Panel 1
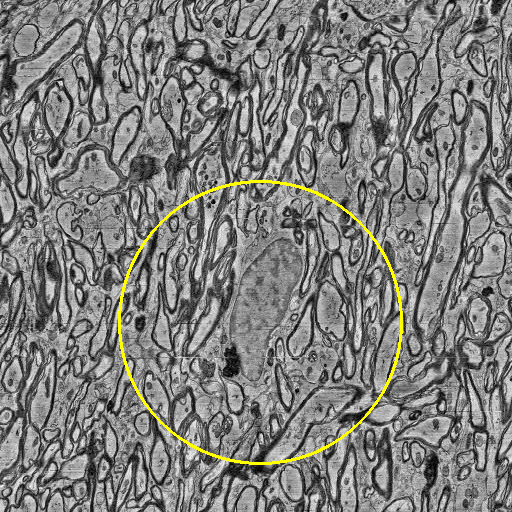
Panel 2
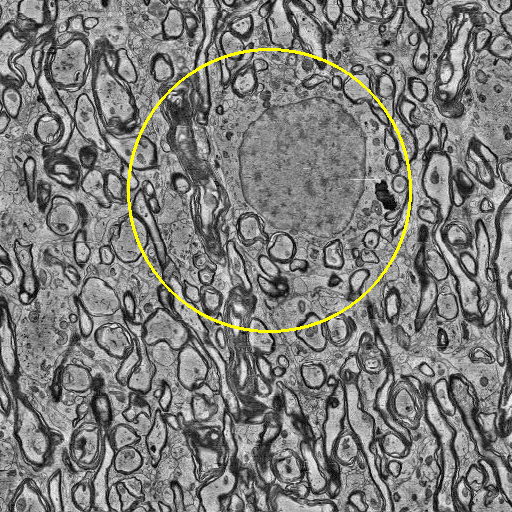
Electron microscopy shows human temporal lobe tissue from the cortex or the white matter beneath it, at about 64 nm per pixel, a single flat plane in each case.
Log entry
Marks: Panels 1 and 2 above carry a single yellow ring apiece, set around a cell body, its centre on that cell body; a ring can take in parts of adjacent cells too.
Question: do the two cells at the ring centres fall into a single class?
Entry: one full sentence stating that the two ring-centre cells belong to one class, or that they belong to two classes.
The two ring-centre cells in Panels 1 and 2 belong to one class.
